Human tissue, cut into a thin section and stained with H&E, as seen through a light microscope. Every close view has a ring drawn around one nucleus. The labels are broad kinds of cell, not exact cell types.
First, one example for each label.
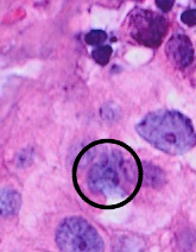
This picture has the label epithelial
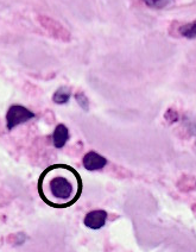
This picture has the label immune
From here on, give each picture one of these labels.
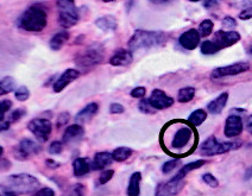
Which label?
immune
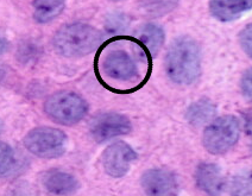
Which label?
epithelial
